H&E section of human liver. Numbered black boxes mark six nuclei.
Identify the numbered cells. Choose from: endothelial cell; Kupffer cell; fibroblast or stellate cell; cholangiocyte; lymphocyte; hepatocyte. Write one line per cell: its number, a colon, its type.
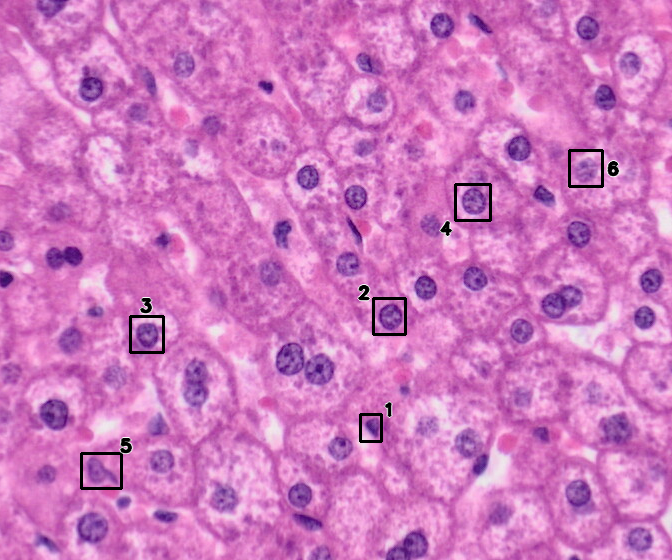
1: fibroblast or stellate cell
2: hepatocyte
3: hepatocyte
4: hepatocyte
5: Kupffer cell
6: hepatocyte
